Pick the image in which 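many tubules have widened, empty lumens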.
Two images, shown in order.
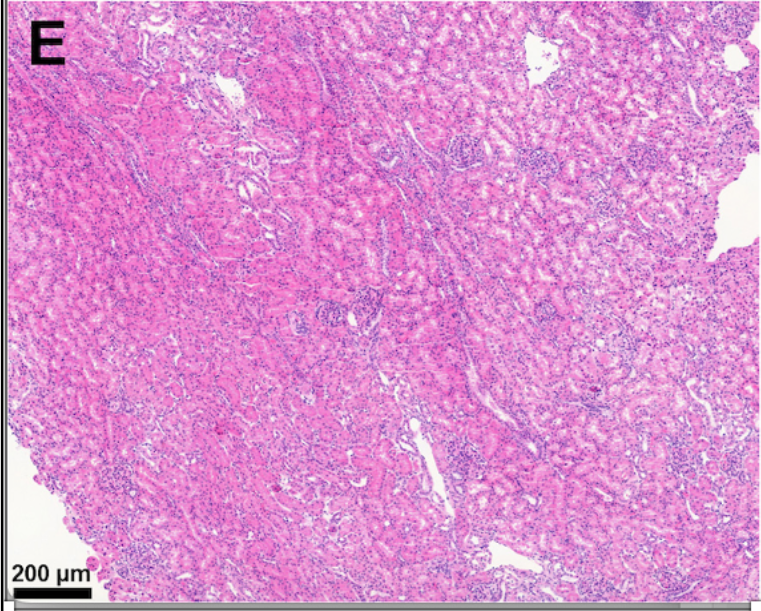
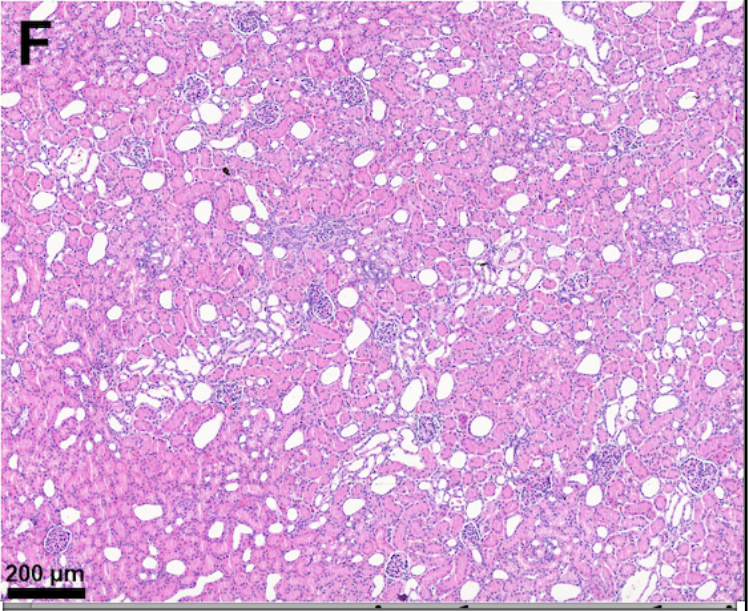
The second image.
